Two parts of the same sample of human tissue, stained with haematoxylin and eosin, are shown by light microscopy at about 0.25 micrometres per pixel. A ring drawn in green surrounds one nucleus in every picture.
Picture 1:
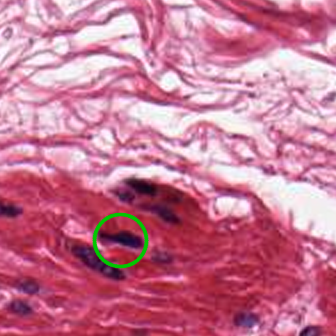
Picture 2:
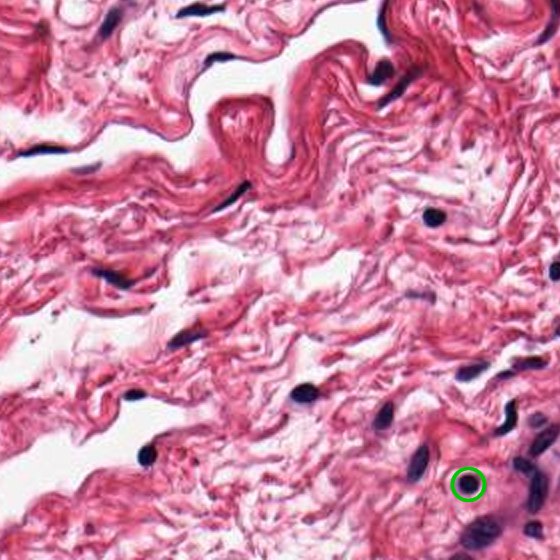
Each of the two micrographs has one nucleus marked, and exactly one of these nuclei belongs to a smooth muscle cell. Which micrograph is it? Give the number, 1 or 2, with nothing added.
1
